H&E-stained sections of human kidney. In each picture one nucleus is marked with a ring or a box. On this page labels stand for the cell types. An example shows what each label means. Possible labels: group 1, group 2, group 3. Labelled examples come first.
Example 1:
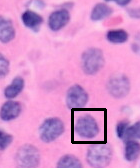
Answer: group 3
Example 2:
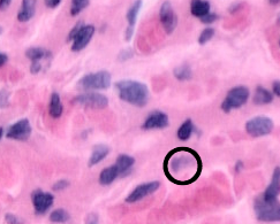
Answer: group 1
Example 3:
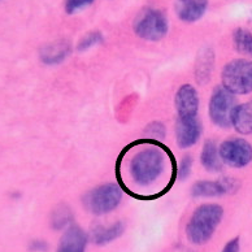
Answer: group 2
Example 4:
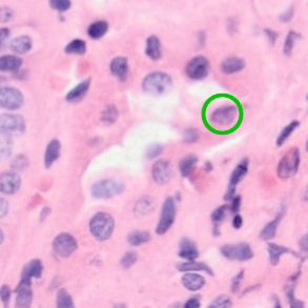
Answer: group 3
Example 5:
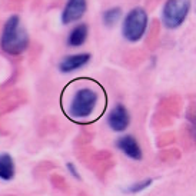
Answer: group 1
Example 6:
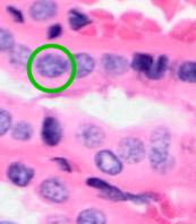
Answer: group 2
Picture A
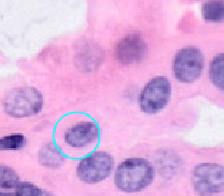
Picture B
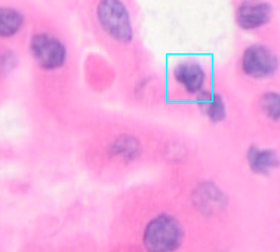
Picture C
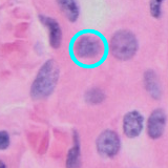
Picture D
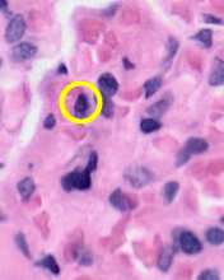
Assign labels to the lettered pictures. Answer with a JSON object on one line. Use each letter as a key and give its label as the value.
{"A": "group 2", "B": "group 3", "C": "group 3", "D": "group 1"}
